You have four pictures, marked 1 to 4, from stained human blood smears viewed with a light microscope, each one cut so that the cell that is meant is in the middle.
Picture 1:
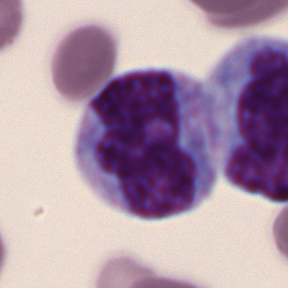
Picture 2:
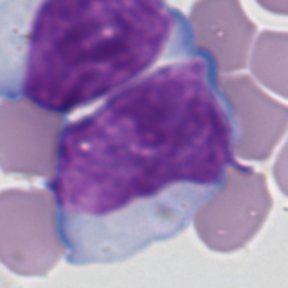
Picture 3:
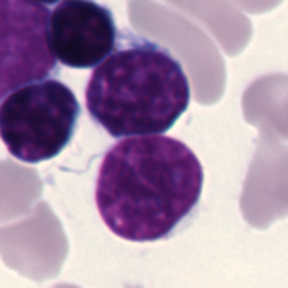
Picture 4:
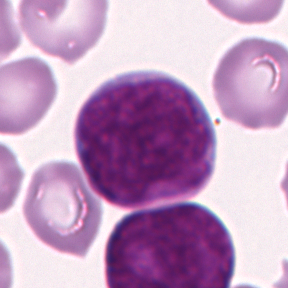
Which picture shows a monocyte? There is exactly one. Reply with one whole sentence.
Picture 1 shows the monocyte.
